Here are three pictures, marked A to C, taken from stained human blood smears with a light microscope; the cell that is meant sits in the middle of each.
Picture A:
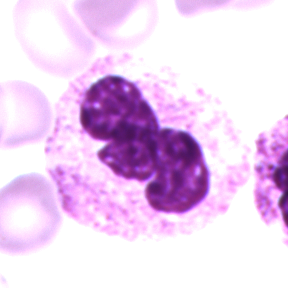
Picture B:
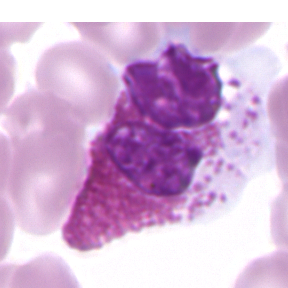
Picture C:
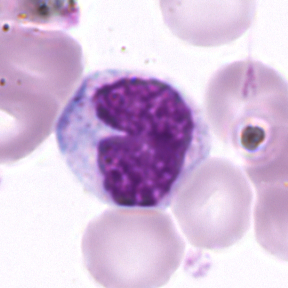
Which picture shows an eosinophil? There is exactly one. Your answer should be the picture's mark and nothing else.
B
